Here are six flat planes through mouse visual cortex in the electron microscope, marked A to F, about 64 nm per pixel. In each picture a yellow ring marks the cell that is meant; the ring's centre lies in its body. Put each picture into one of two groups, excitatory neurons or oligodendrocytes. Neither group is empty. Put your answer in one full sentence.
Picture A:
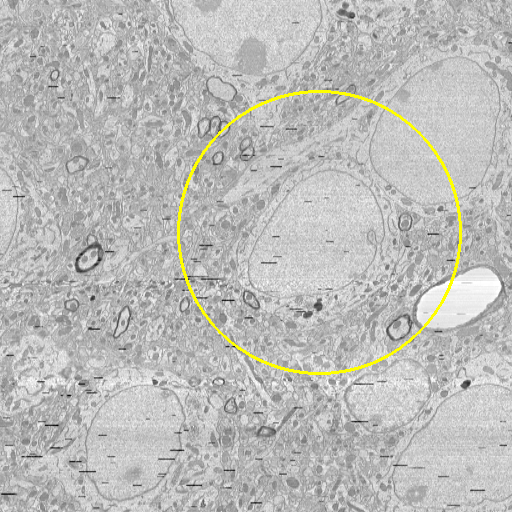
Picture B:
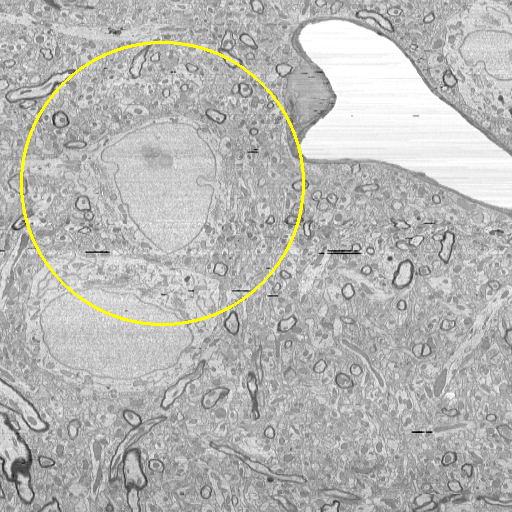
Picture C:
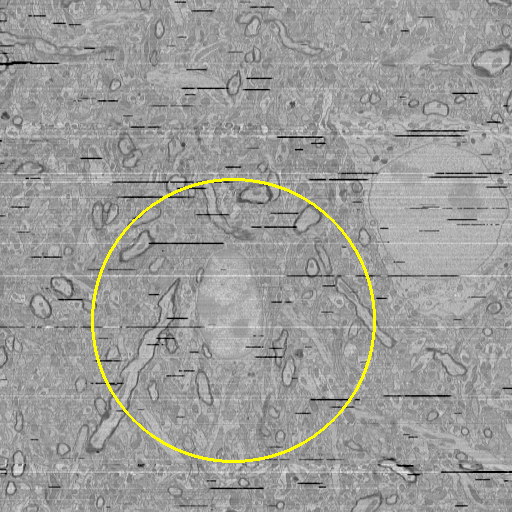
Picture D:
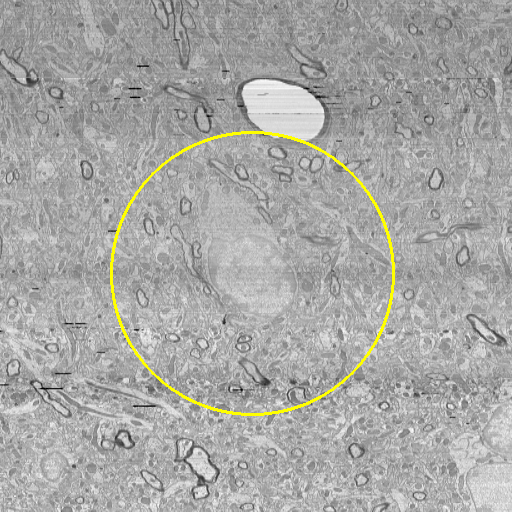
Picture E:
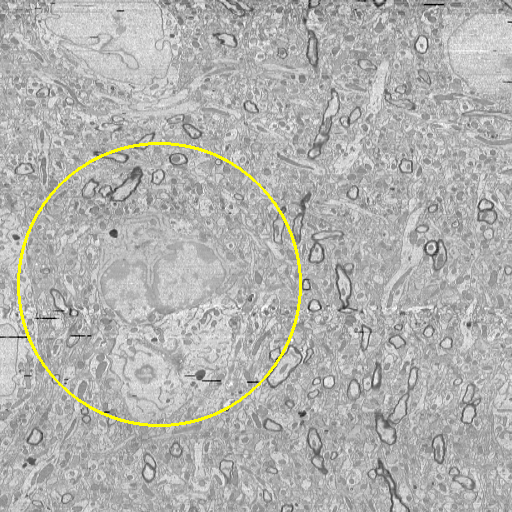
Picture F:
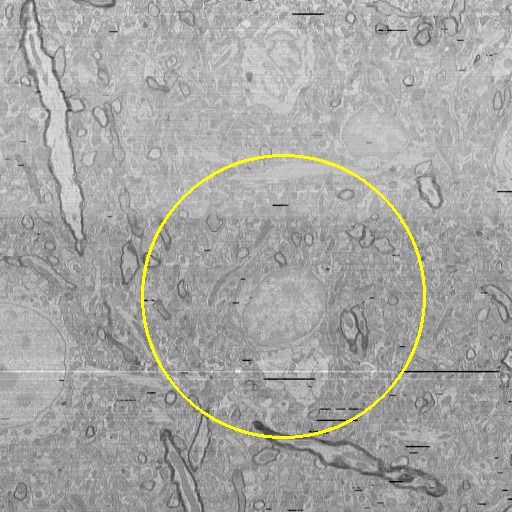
Pictures A and B show excitatory neurons, while pictures C, D, E and F show oligodendrocytes.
